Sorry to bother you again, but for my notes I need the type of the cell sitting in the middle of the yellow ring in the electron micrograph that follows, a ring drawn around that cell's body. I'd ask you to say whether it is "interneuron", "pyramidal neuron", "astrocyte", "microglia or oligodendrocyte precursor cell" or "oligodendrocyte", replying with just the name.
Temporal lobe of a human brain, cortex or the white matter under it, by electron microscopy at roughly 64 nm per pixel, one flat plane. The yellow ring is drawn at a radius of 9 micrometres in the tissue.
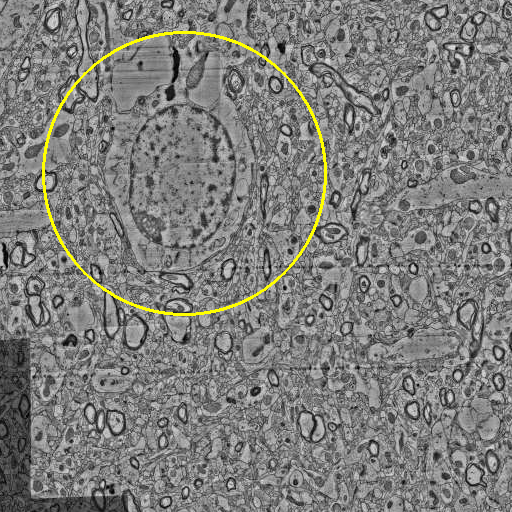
astrocyte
